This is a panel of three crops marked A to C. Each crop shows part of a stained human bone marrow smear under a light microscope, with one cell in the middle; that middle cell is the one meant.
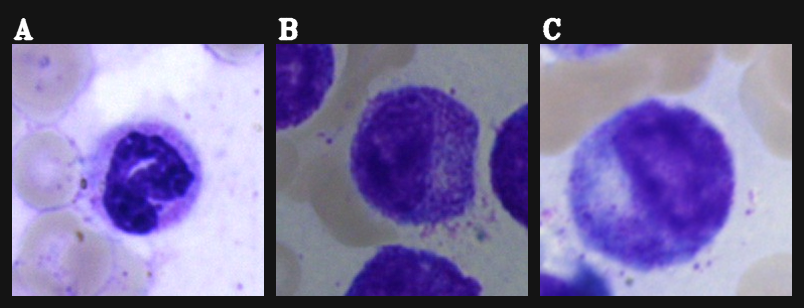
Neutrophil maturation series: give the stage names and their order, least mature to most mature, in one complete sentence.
The order of maturity, beginning with the least mature, is crop C (a promyelocyte), crop B (a myelocyte) and crop A (a segmented neutrophil).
